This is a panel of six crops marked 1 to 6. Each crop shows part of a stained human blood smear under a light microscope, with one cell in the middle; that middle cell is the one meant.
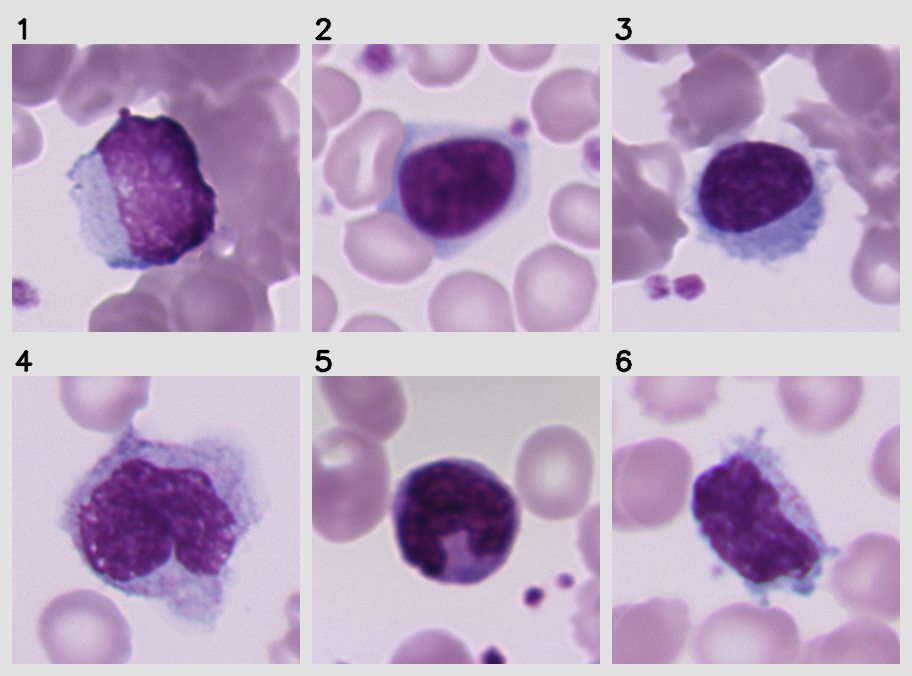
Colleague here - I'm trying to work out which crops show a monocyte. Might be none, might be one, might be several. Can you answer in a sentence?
In this set, crops 4 and 5 show monocytes.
